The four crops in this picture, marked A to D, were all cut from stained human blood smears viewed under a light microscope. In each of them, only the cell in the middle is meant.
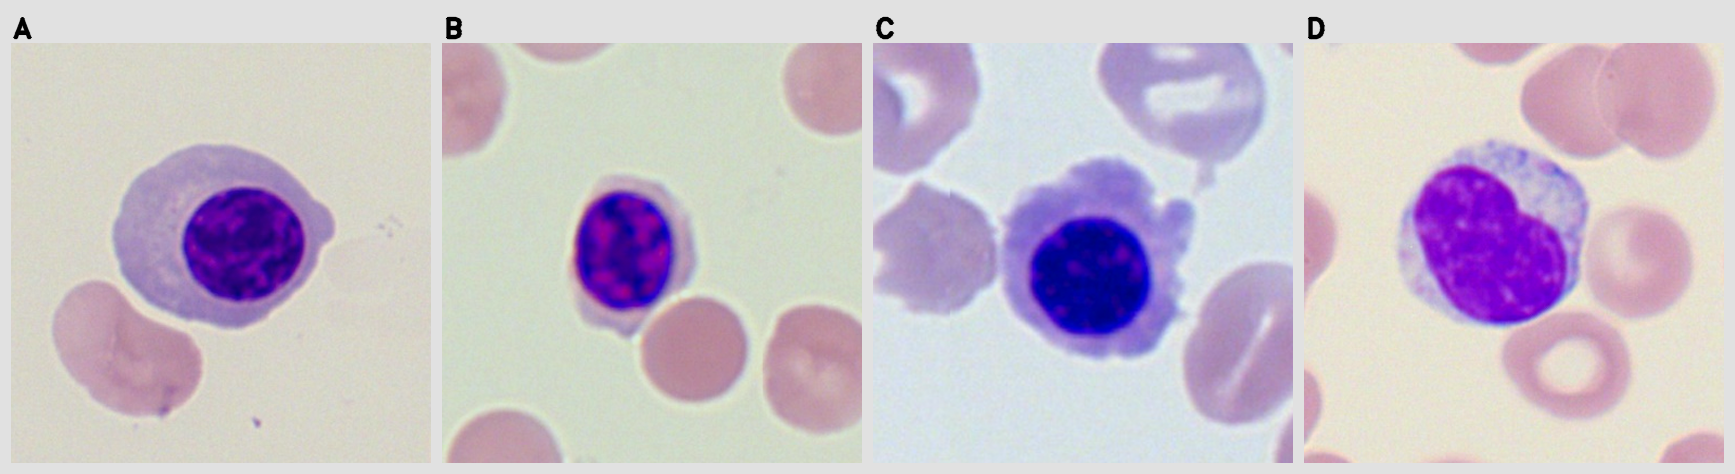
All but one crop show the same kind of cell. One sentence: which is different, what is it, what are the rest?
Crop D is a lymphocyte, the one exception to the normoblasts of the other crops.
